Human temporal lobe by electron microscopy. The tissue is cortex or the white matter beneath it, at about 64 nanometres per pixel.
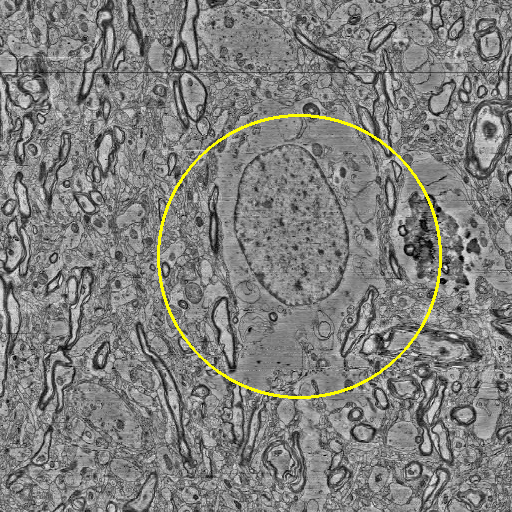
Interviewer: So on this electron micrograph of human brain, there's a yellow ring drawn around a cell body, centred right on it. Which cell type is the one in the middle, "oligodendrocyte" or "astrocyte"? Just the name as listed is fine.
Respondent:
astrocyte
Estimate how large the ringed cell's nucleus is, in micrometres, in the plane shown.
Roughly 11 micrometres by 7 micrometres, in this plane.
